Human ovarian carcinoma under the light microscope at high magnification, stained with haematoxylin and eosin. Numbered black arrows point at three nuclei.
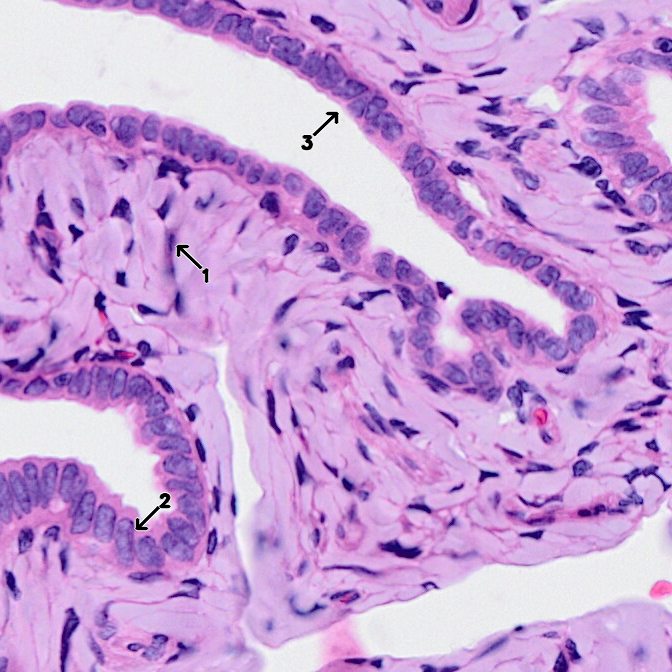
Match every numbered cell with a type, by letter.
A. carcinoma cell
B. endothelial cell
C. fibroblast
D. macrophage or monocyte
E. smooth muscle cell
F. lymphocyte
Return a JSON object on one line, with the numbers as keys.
{"1": "B", "2": "A", "3": "A"}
